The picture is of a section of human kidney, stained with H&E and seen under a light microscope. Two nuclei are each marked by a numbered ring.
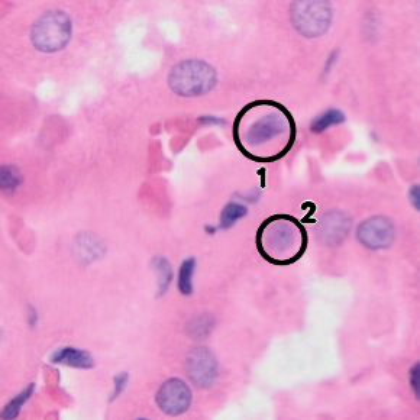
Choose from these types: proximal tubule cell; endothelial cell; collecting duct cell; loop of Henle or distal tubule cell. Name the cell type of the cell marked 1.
endothelial cell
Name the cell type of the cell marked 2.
proximal tubule cell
